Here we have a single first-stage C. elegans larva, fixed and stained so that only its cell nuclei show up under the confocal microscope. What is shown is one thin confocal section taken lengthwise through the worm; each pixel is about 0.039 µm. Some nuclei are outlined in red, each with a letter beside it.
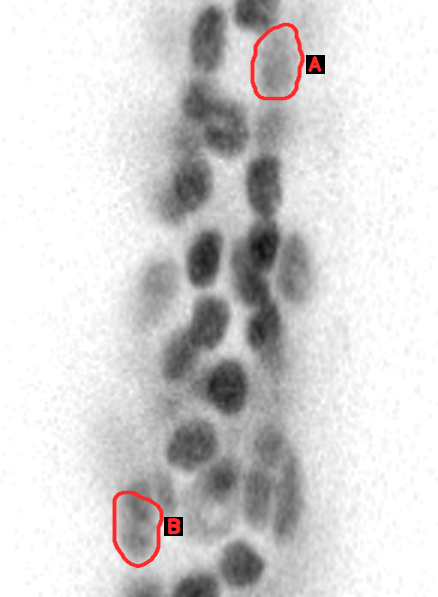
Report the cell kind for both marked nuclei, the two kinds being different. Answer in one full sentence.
The nucleus A is that of a glial cell (sheath or socket), while B is that of a body wall muscle cell.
